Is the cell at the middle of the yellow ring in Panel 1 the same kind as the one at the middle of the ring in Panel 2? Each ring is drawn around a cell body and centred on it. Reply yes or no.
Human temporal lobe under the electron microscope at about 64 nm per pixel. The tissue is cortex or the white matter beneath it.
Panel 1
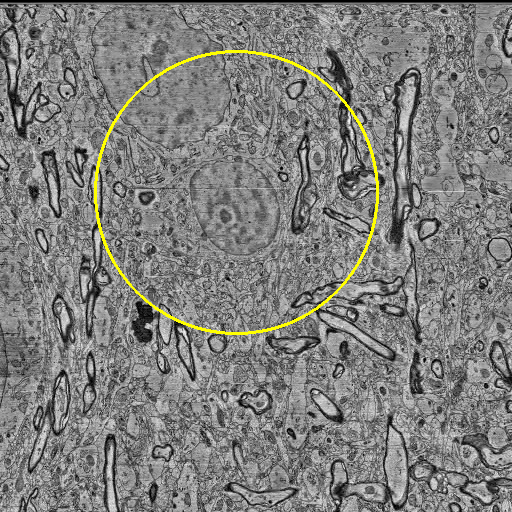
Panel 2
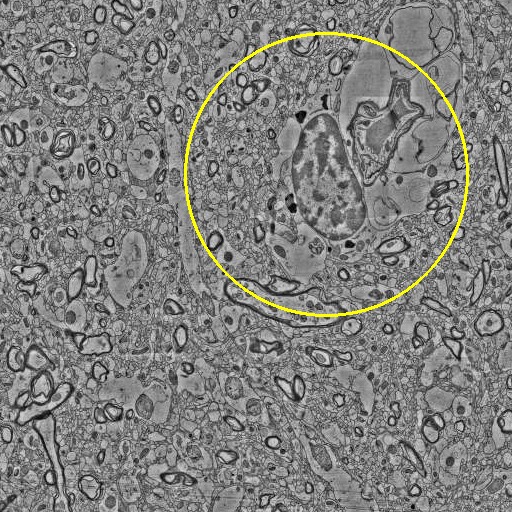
no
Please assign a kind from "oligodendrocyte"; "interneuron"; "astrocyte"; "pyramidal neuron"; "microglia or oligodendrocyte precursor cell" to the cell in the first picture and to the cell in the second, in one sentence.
In the first picture we have an oligodendrocyte, and in the second, a microglial cell or oligodendrocyte precursor cell.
